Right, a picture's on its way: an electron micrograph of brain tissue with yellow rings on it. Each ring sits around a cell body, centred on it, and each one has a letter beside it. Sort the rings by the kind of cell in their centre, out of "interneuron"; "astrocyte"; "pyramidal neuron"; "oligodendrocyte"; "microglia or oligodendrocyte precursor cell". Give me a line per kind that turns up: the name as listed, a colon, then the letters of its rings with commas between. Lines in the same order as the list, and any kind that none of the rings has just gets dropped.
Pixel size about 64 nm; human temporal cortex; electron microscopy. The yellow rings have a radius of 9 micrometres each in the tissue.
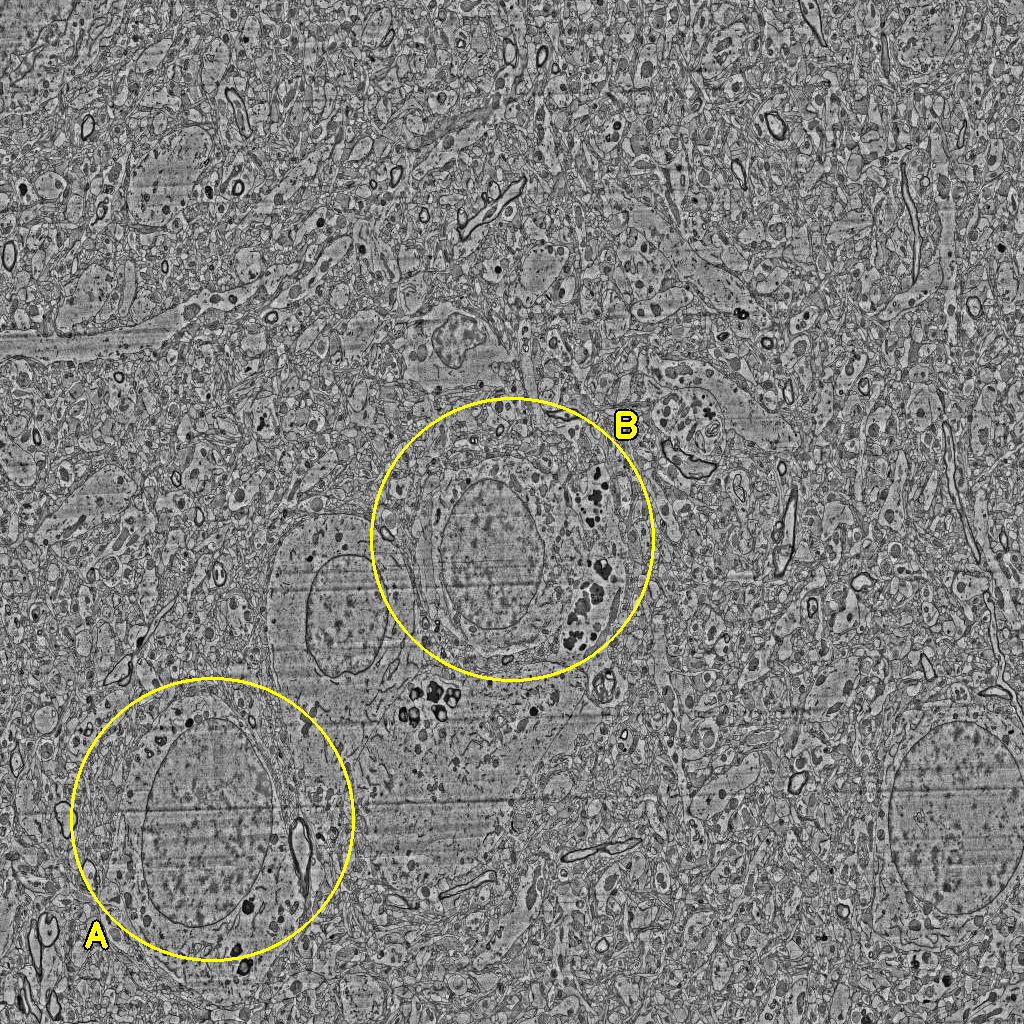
interneuron: B
pyramidal neuron: A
